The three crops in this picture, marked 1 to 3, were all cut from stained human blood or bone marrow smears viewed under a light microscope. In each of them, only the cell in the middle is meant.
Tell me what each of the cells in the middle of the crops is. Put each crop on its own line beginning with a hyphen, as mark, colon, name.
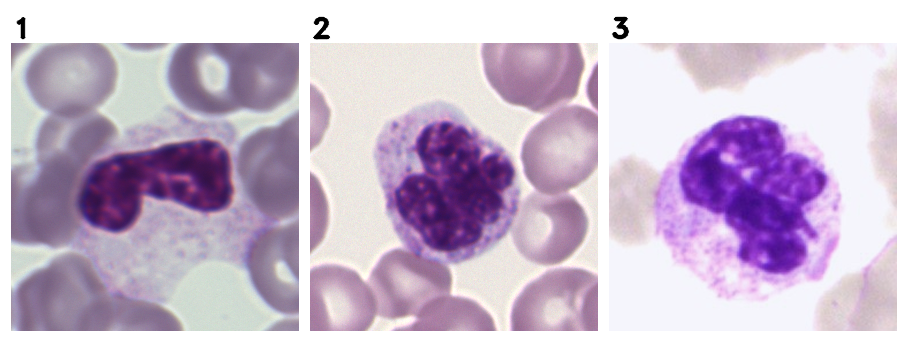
- 1: band neutrophil
- 2: segmented neutrophil
- 3: segmented neutrophil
